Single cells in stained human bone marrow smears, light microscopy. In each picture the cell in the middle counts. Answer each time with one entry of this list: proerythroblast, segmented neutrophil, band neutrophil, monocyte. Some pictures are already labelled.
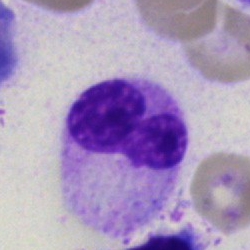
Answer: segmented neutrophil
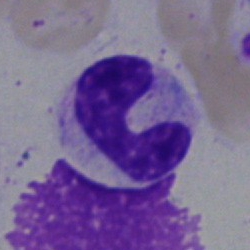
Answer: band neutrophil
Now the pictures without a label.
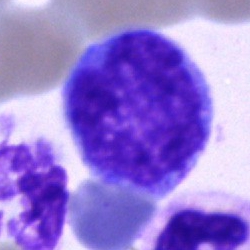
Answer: monocyte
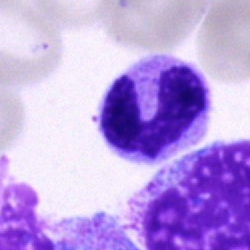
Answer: band neutrophil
